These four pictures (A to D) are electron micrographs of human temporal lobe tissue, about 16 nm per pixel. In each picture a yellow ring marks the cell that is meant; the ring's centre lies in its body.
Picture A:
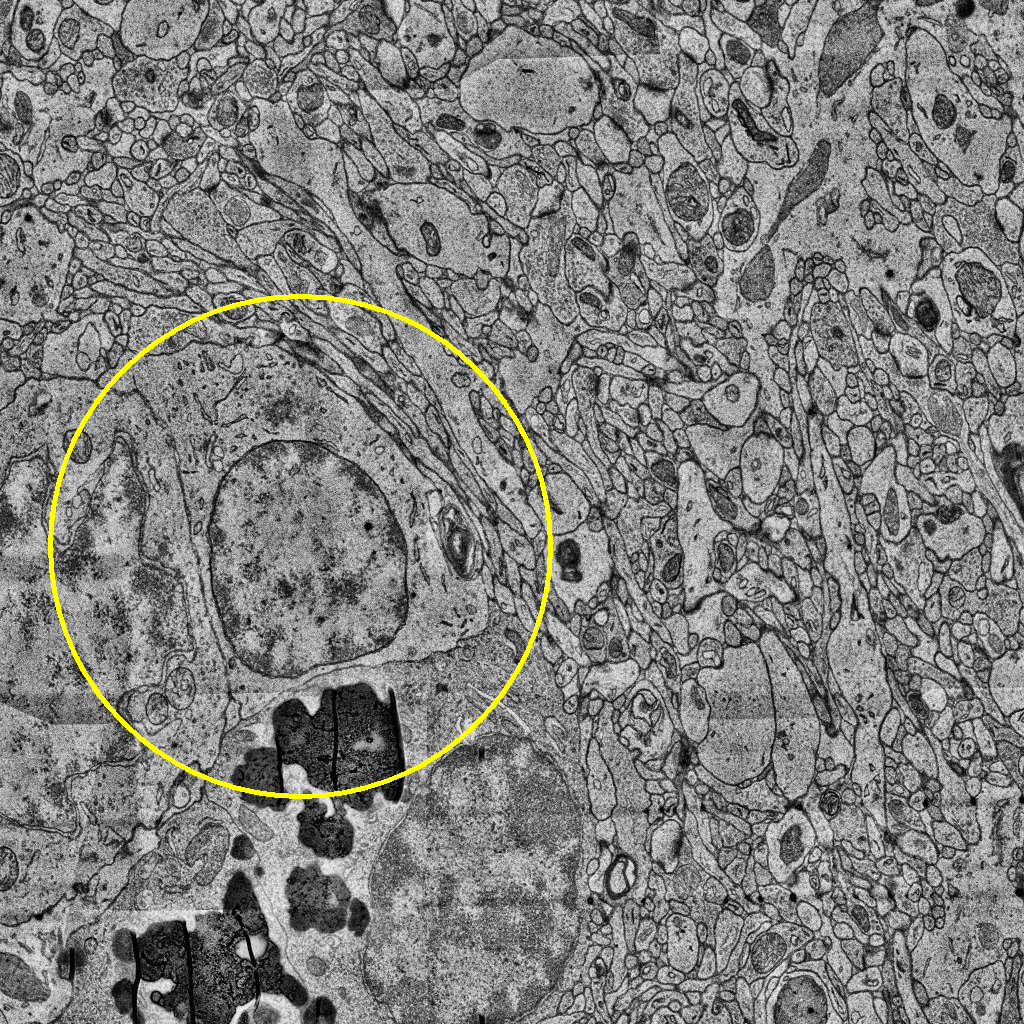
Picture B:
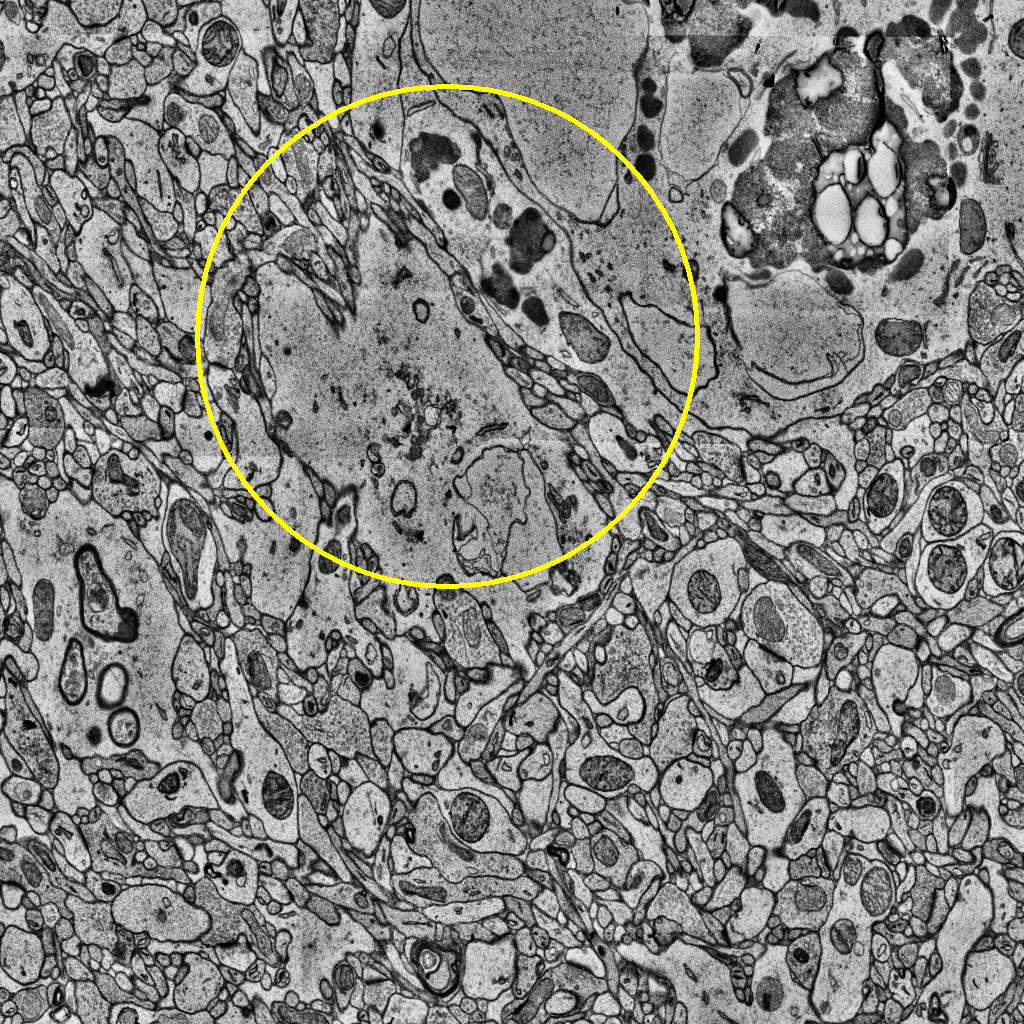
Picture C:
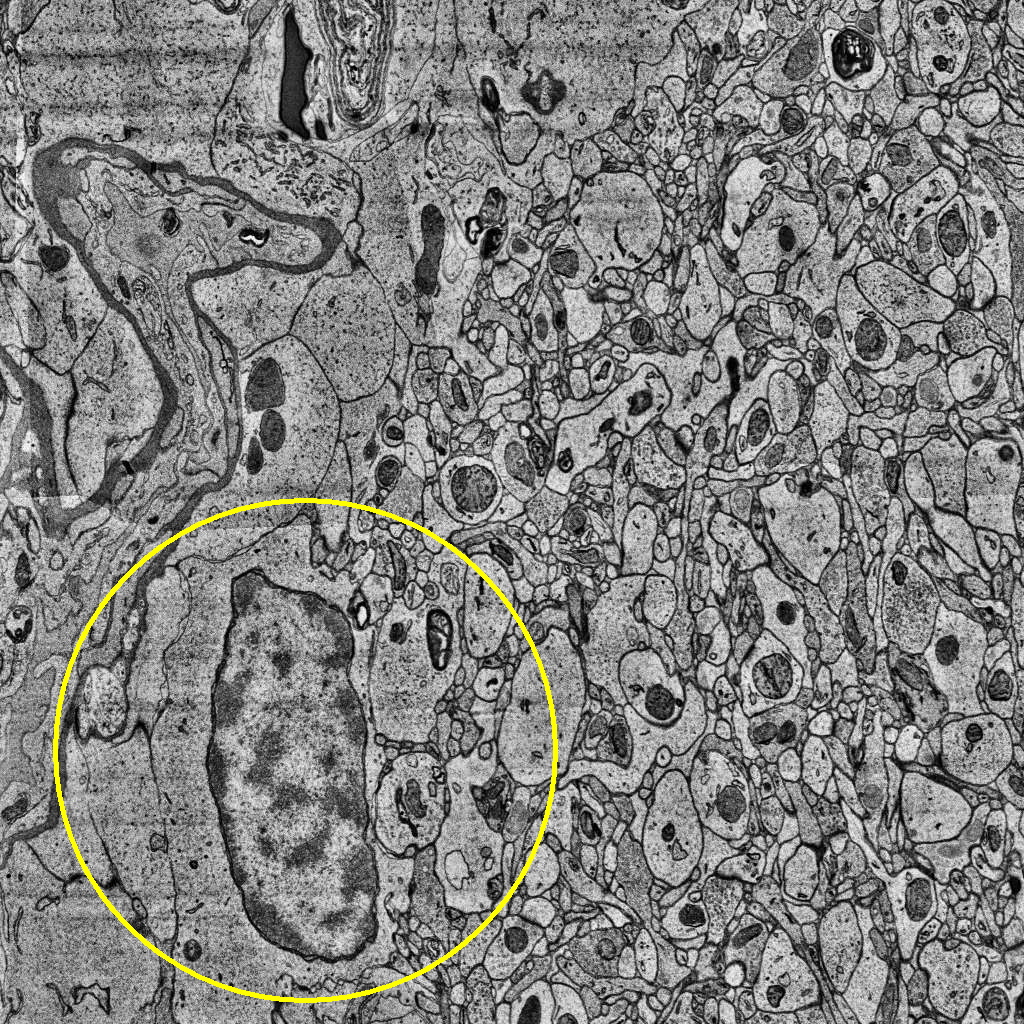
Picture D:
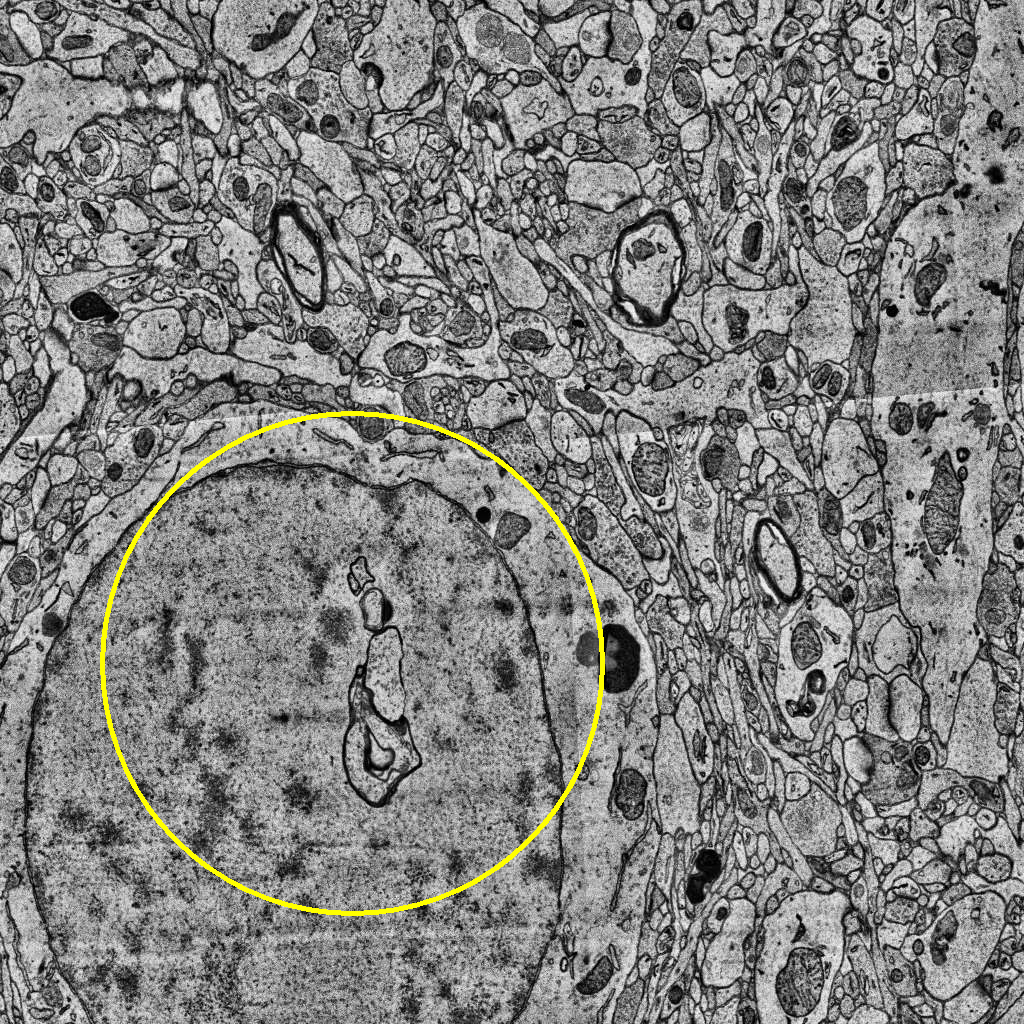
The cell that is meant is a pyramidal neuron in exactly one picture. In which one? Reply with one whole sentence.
It is picture D that shows the pyramidal neuron.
